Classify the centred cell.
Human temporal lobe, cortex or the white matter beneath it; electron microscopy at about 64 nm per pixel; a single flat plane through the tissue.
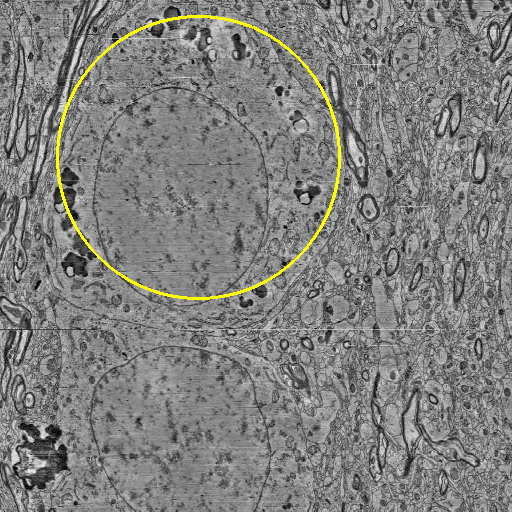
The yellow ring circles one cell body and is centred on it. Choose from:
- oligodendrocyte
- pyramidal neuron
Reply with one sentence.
The ring is centred on a pyramidal neuron.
